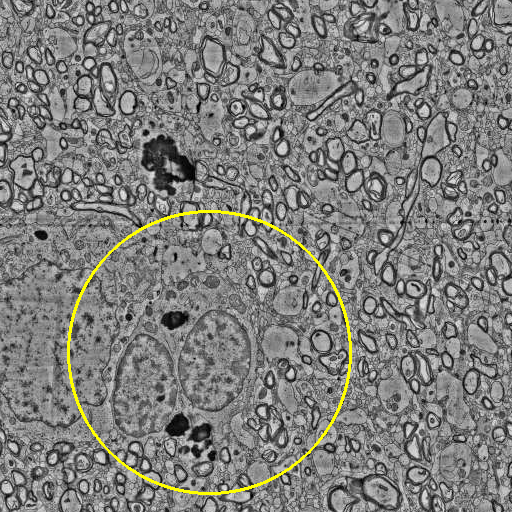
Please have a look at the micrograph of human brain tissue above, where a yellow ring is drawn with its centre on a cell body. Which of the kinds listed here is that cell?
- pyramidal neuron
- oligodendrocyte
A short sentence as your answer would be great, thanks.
At the centre of the ring sits an oligodendrocyte.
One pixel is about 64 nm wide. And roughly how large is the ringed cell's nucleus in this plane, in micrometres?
Roughly 6 by 5 micrometres in this plane, for the nucleus of the ringed cell.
